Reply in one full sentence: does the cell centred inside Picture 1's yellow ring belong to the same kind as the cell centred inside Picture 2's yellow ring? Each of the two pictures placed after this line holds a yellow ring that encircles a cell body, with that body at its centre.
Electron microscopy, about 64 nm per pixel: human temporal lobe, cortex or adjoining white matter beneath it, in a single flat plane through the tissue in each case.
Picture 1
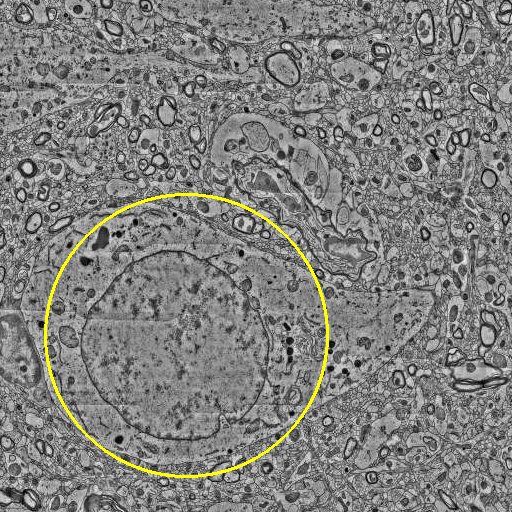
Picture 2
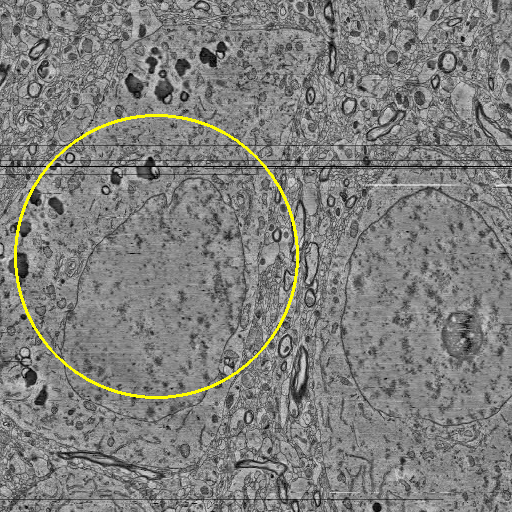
Yes, the ring-centred cells in Picture 1 and Picture 2 are of one and the same kind.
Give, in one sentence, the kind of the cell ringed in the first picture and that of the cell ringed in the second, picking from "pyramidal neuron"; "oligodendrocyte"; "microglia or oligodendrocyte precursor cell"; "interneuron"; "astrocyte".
In both pictures the ring is centred on a pyramidal neuron.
